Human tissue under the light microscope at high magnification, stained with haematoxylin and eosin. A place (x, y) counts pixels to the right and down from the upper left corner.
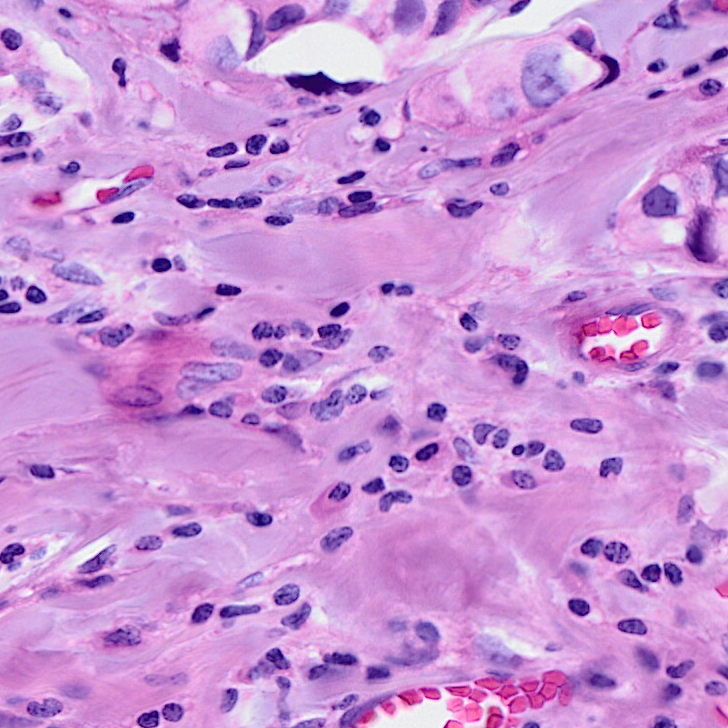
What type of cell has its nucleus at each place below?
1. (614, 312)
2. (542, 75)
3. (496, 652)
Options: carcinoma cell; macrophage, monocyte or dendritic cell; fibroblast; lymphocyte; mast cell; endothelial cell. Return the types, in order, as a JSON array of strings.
["endothelial cell", "carcinoma cell", "fibroblast"]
